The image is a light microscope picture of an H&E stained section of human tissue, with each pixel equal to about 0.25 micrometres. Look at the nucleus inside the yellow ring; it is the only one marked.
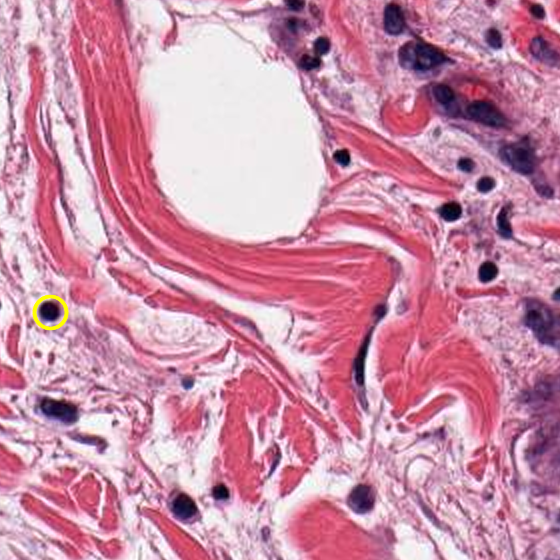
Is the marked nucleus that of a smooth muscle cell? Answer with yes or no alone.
no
